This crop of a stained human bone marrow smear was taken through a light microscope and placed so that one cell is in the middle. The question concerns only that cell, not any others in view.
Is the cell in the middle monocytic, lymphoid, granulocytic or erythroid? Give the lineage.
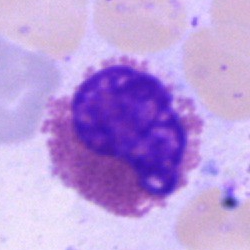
granulocytic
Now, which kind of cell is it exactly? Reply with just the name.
eosinophil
